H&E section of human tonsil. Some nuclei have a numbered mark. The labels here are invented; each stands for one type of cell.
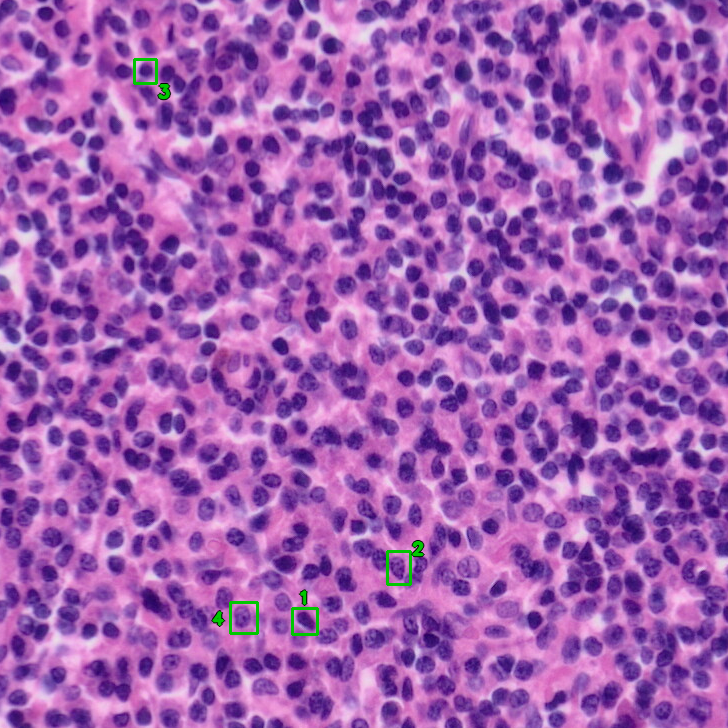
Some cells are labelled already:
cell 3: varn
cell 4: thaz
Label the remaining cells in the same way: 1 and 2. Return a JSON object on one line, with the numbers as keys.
{"1": "thaz", "2": "thaz"}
